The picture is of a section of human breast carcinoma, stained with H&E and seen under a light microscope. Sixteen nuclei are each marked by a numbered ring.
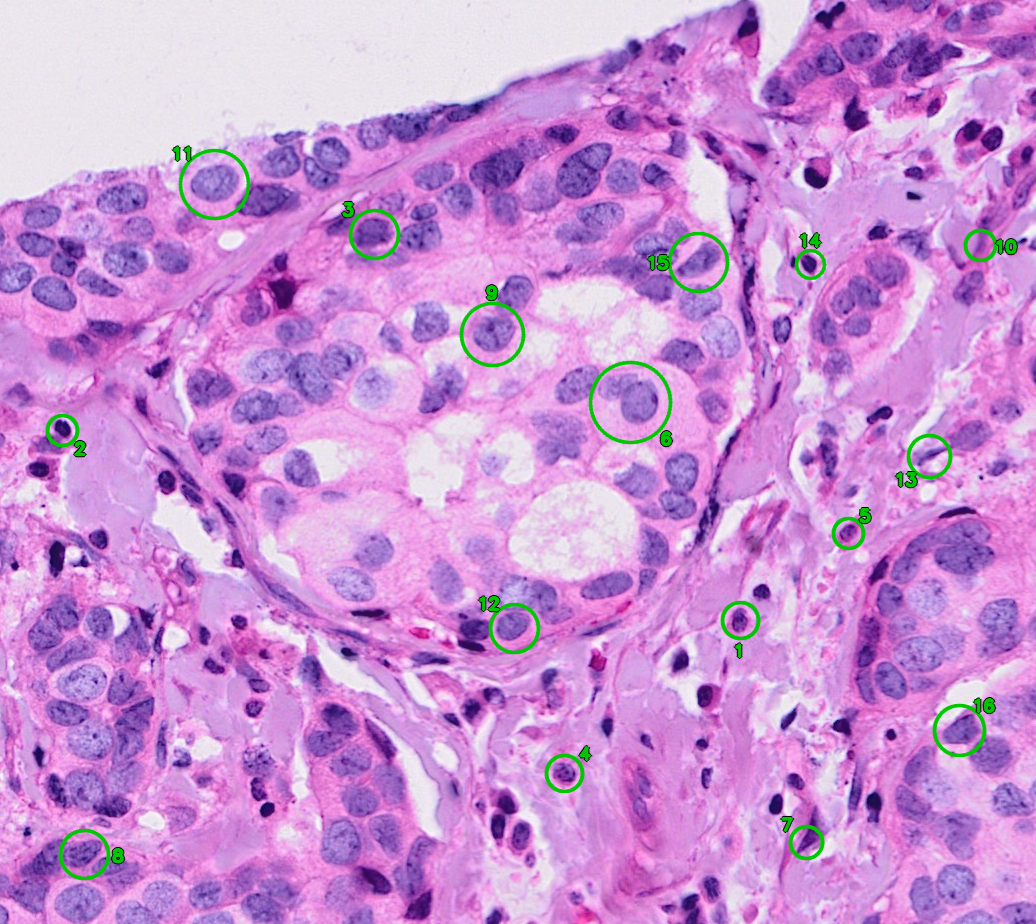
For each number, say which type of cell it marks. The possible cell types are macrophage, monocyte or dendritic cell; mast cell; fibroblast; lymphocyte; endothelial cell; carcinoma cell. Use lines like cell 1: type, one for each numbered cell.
cell 1: mast cell
cell 2: lymphocyte
cell 3: carcinoma cell
cell 4: mast cell
cell 5: mast cell
cell 6: carcinoma cell
cell 7: fibroblast
cell 8: carcinoma cell
cell 9: carcinoma cell
cell 10: endothelial cell
cell 11: carcinoma cell
cell 12: carcinoma cell
cell 13: fibroblast
cell 14: mast cell
cell 15: carcinoma cell
cell 16: carcinoma cell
